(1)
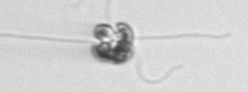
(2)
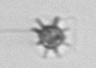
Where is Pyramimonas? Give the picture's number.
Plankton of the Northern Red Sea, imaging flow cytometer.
1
